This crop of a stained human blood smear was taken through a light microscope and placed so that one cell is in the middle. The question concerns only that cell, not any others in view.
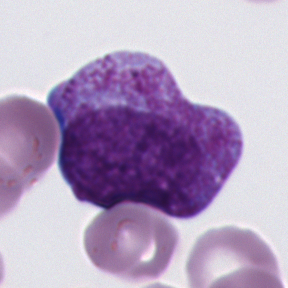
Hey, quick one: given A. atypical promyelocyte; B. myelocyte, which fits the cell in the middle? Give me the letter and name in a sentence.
The cell positioned centrally is an atypical promyelocyte, as given in option A, which is correct.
